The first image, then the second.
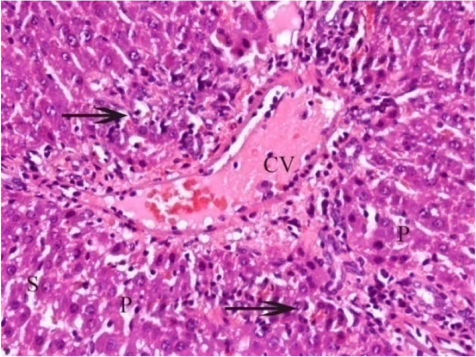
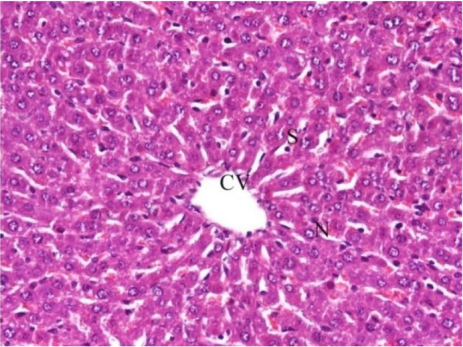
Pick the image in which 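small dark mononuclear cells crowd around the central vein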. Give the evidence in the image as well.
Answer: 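First image: many small dark-nucleated cells pack the tissue around the vein. Second image: hepatocyte cords radiate from the empty vein without clusters of small dark cells.
Answer: the first image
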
